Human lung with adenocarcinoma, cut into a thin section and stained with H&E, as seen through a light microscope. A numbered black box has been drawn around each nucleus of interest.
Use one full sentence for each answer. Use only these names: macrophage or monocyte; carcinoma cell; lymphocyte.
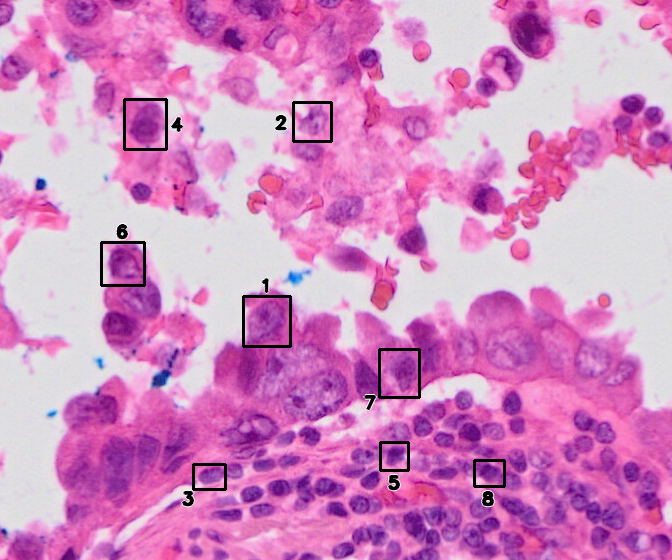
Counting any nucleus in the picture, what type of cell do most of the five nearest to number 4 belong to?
Macrophages or monocytes account for more than half of the five nuclei nearest to number 4.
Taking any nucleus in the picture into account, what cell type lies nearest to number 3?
Number 3 lies closest to the nucleus of a lymphocyte.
